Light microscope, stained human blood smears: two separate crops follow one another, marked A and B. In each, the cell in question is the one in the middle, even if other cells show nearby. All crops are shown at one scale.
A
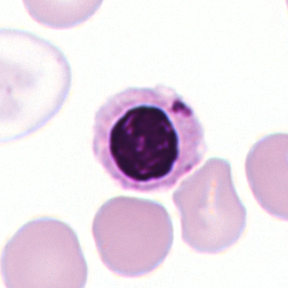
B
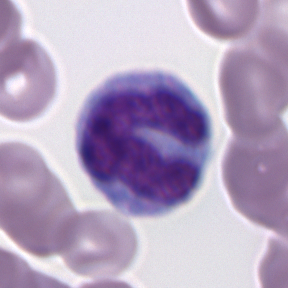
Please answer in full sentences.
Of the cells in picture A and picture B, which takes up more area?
Picture B holds the larger cell; it covers about 2 times the area of the cell in picture A.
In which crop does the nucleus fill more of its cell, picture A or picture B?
It is the cell in picture B that is filled more by its nucleus.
